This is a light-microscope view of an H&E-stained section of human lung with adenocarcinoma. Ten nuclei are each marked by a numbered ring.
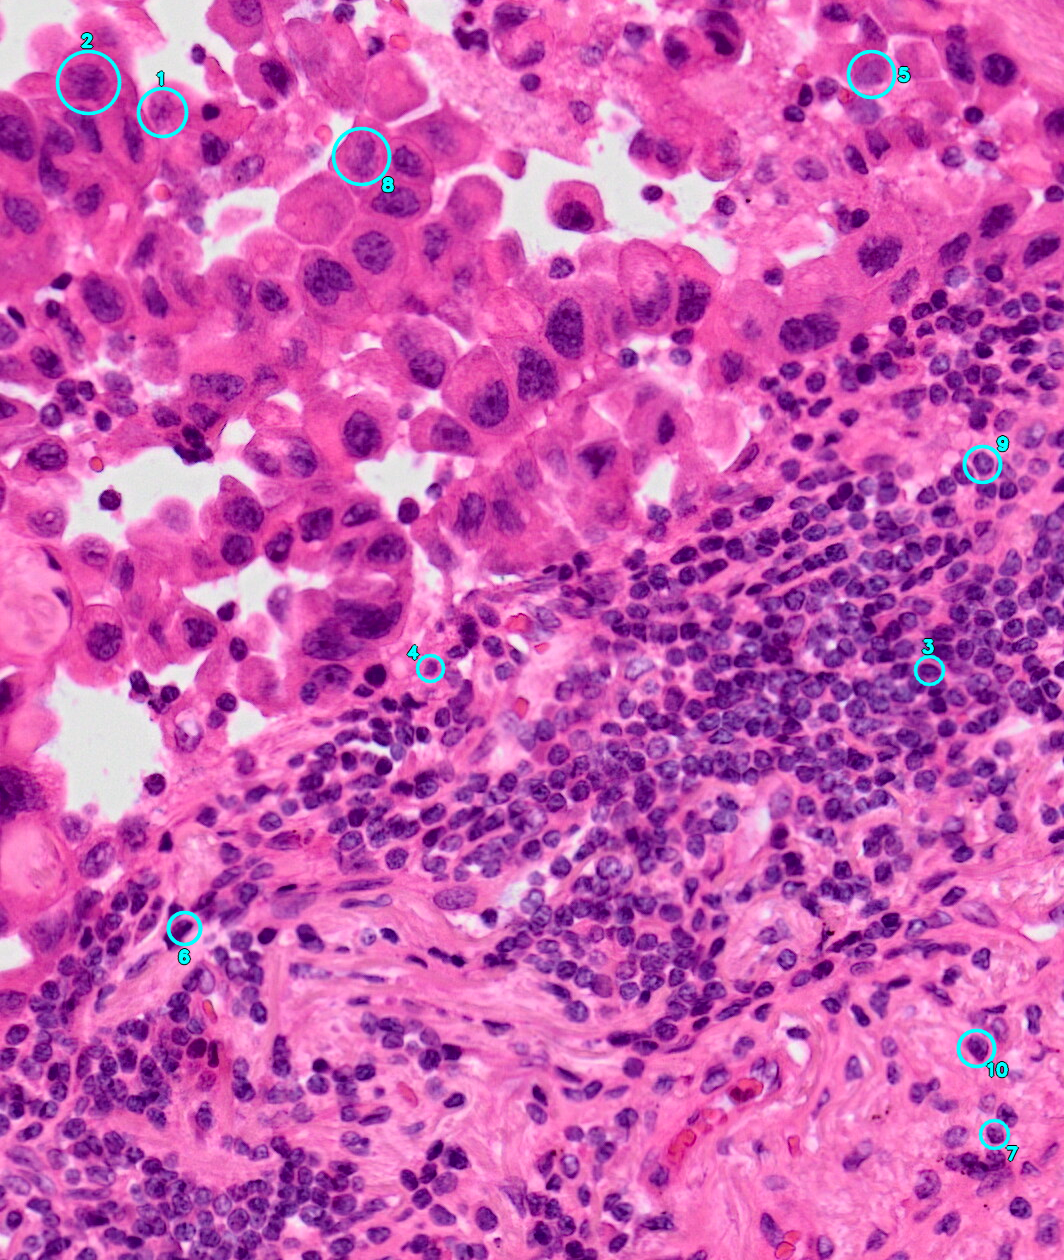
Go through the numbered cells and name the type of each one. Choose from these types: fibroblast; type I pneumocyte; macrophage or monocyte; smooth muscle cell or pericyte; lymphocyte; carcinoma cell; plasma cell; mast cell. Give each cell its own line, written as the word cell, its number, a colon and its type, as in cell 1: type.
cell 1: carcinoma cell
cell 2: carcinoma cell
cell 3: lymphocyte
cell 4: lymphocyte
cell 5: carcinoma cell
cell 6: lymphocyte
cell 7: lymphocyte
cell 8: carcinoma cell
cell 9: lymphocyte
cell 10: lymphocyte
